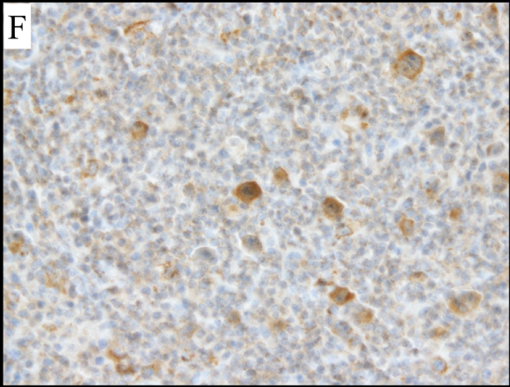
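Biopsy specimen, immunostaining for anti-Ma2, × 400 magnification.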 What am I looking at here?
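Lymphoid tissue in which scattered large cells show brown staining of their cytoplasm. These stained cells lie singly among many small round cells with blue nuclei and little or faint staining.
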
